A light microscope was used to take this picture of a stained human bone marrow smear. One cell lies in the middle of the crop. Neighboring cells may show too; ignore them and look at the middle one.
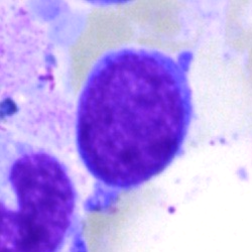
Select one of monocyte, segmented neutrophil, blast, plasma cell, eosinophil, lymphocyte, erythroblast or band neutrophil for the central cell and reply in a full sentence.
To answer, the cell in the center of the crop is a blast.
